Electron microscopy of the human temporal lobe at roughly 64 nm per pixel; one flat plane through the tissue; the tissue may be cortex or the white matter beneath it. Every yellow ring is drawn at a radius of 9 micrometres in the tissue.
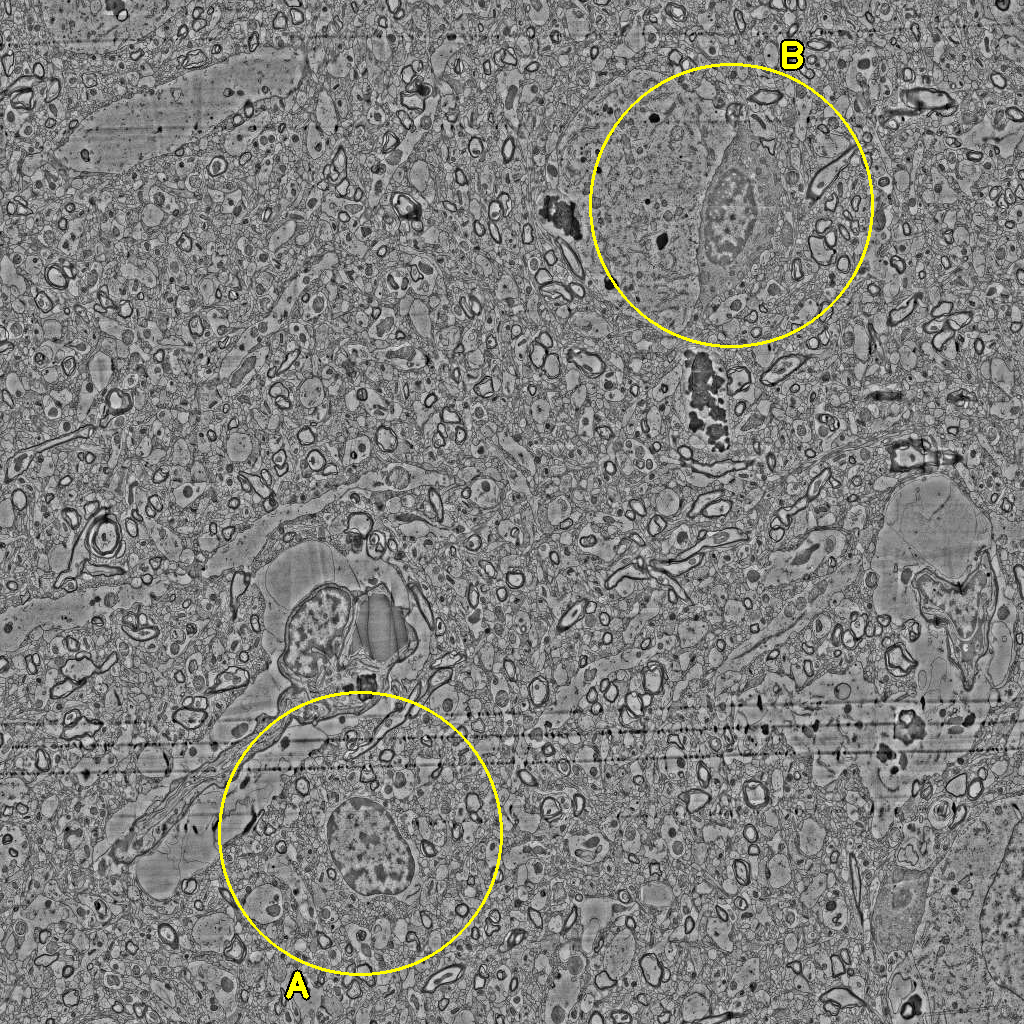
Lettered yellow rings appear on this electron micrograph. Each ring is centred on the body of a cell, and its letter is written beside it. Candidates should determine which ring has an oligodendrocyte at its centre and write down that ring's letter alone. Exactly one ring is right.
B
